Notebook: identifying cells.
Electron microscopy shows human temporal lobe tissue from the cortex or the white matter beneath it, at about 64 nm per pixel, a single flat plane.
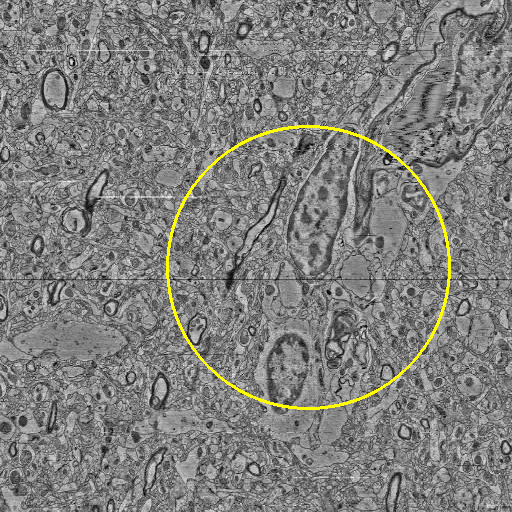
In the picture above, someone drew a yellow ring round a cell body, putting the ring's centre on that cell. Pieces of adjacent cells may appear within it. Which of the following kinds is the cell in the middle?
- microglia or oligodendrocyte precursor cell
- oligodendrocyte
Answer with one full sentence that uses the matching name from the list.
In this picture, the yellow ring is centred on the body of a microglial cell or oligodendrocyte precursor cell.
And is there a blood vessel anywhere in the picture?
Yes, one is visible.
